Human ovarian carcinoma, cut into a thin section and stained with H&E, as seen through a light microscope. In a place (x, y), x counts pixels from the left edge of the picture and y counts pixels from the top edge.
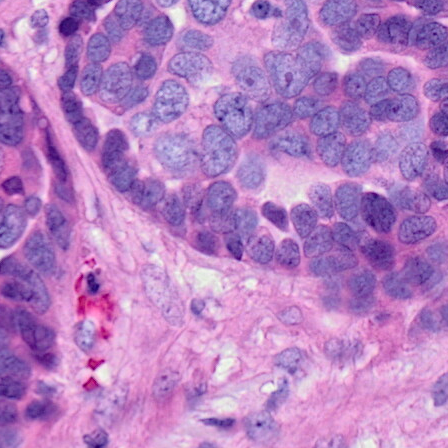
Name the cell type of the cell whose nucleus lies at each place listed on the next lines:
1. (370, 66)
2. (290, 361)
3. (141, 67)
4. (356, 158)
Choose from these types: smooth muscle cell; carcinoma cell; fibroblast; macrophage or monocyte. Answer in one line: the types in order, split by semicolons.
carcinoma cell; fibroblast; carcinoma cell; carcinoma cell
